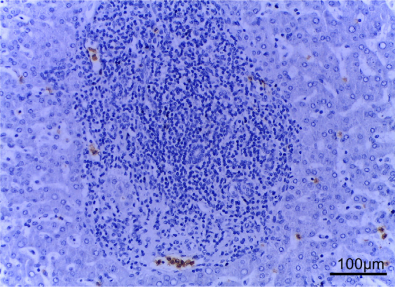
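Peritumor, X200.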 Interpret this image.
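A tertiary lymphoid structure appears as a dense oval aggregate of small lymphoid cells with dark blue round nuclei and scant cytoplasm, set within sheets of larger polygonal cells with pale cytoplasm and central round nuclei. Only a few brown-stained cells are seen, mainly at the lower edge of the aggregate, while its center is nearly free of them.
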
